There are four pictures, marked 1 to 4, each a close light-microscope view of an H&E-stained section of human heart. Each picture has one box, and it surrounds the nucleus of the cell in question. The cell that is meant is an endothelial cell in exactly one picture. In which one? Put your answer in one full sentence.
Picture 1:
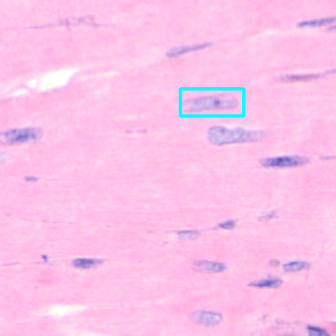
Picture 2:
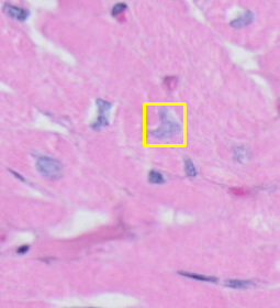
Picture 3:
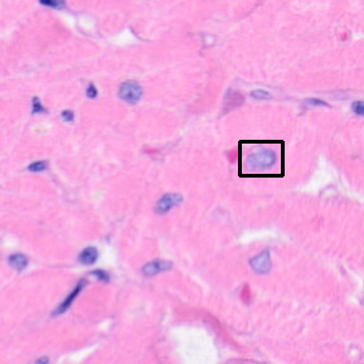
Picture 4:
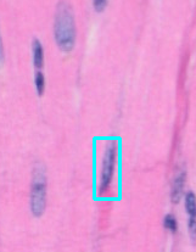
Picture 4 is the one that shows the endothelial cell.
